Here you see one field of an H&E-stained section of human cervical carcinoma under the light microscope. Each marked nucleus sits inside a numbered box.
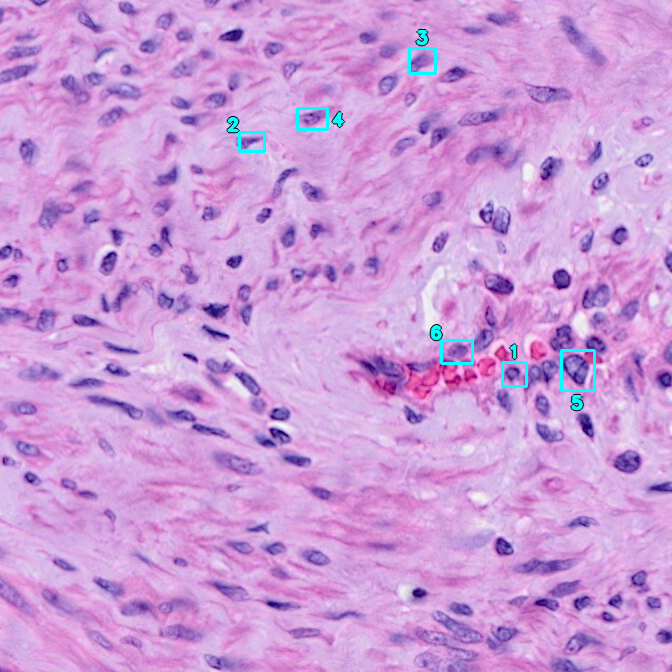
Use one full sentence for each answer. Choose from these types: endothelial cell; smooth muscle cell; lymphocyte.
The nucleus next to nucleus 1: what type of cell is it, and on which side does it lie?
An endothelial cell lies closest, to the right of nucleus 1.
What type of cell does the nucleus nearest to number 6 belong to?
Number 6 lies closest to the nucleus of an endothelial cell.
